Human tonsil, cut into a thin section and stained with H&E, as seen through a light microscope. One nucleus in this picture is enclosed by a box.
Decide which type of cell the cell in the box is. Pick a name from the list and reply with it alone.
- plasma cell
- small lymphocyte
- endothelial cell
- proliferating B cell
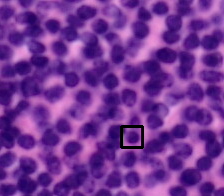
small lymphocyte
